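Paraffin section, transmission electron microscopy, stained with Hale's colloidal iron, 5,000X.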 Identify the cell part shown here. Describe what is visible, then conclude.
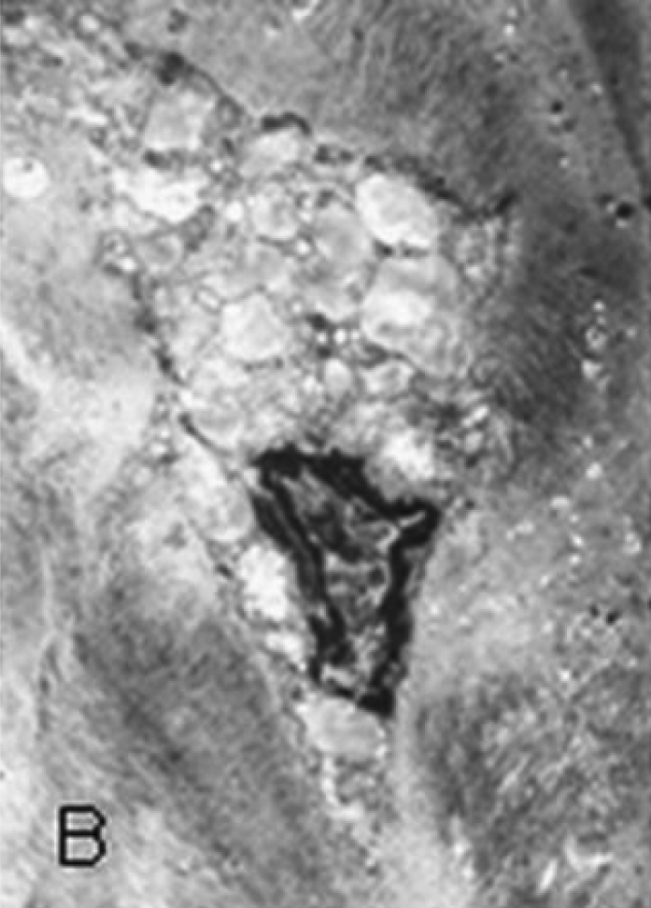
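A central cluster of rounded, pale, membrane-bounded spaces of varying size. The rounded spaces lie packed together in the middle of the panel. So: intracytoplasmic vacuoles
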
